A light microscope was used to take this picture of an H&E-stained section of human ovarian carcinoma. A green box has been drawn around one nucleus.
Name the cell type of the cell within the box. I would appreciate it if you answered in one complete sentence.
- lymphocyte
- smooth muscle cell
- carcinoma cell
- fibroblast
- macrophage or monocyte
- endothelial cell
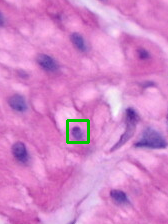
The category to which the cell within the box belongs is that of a smooth muscle cell.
